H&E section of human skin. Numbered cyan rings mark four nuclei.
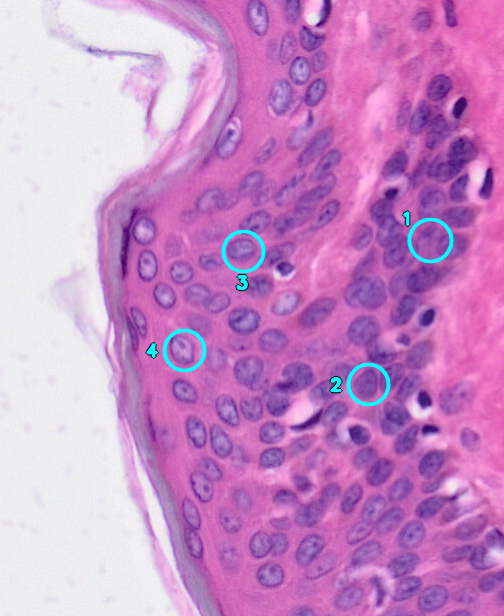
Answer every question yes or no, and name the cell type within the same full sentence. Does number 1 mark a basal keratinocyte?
Yes, the cell that bears number 1 is a basal keratinocyte.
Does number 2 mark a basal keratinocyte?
Yes, in this section the cell with number 2 is a basal keratinocyte.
